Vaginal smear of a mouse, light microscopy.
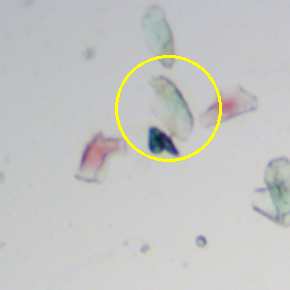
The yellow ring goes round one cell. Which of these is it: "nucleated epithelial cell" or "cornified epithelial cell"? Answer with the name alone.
cornified epithelial cell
